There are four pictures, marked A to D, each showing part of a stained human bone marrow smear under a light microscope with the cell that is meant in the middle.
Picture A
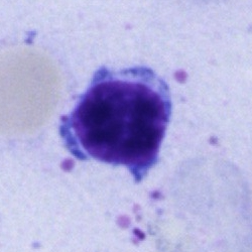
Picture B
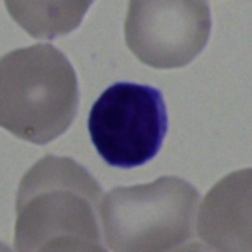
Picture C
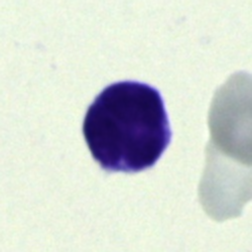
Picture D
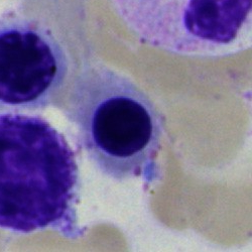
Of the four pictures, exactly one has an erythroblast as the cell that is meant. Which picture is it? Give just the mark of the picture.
D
